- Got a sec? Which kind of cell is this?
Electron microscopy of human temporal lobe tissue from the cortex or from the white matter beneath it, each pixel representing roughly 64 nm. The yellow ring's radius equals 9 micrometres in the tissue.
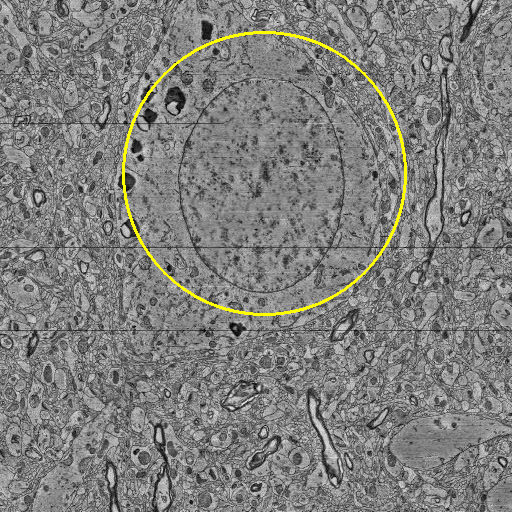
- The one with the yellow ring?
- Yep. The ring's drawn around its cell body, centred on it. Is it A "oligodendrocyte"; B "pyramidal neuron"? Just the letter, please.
B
